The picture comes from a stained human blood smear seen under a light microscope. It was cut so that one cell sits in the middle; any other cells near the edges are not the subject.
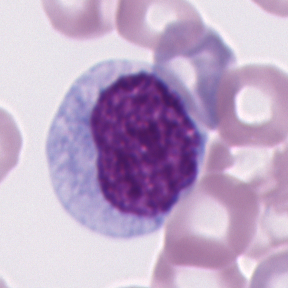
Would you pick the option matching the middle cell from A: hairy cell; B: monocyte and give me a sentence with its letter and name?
Option B holds up: the cell in the middle is a monocyte.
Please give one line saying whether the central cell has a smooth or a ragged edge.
A smooth, projection-free outline is what this cell has.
